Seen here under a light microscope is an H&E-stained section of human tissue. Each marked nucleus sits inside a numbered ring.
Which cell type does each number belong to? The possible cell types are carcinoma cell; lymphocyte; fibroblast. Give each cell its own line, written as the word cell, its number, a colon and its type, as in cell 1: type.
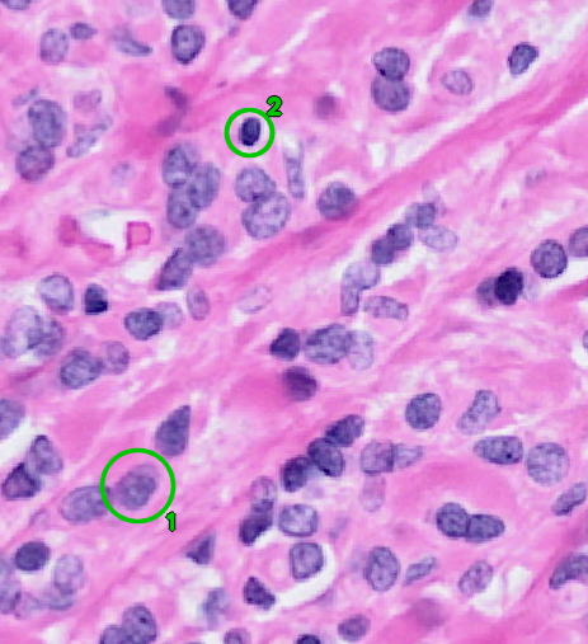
cell 1: carcinoma cell
cell 2: lymphocyte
